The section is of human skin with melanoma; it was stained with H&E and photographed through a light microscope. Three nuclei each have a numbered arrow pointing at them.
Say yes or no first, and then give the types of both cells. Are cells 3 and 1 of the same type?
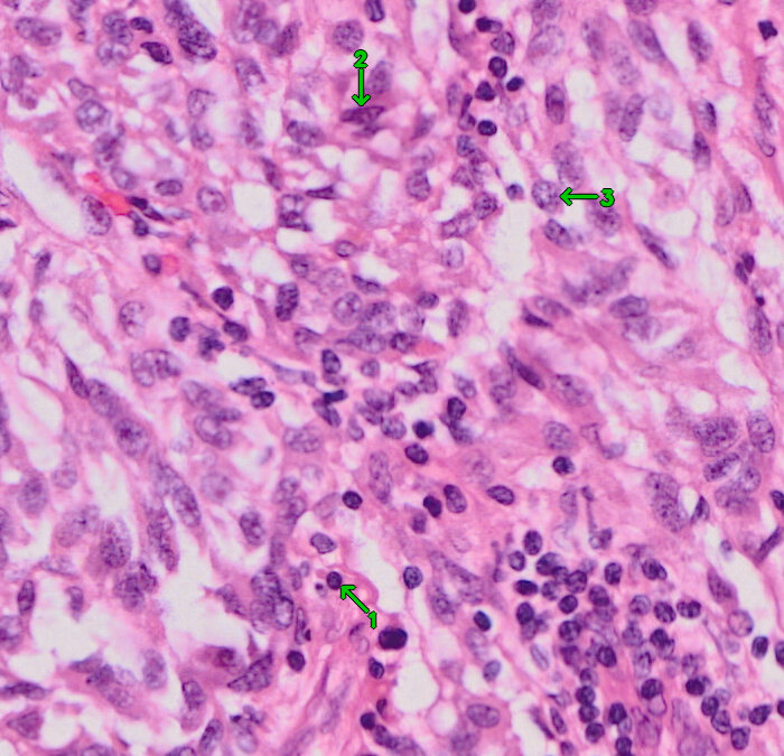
No, cell 3 is a melanoma cell whereas cell 1 is a lymphocyte.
